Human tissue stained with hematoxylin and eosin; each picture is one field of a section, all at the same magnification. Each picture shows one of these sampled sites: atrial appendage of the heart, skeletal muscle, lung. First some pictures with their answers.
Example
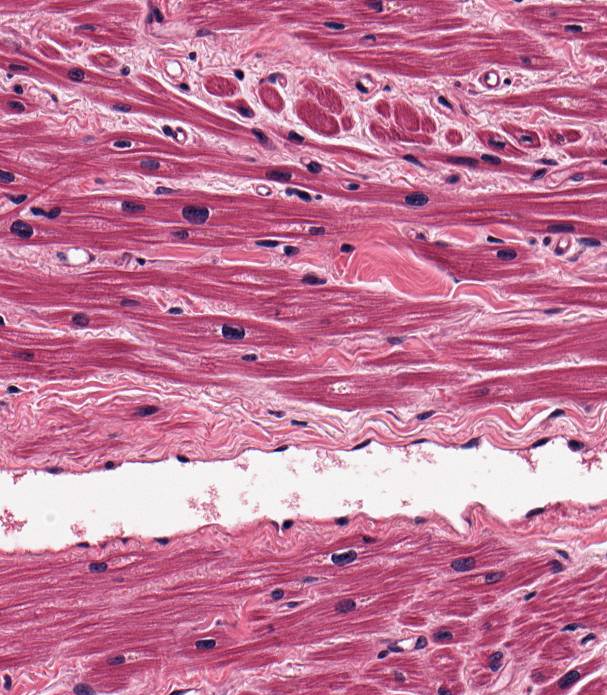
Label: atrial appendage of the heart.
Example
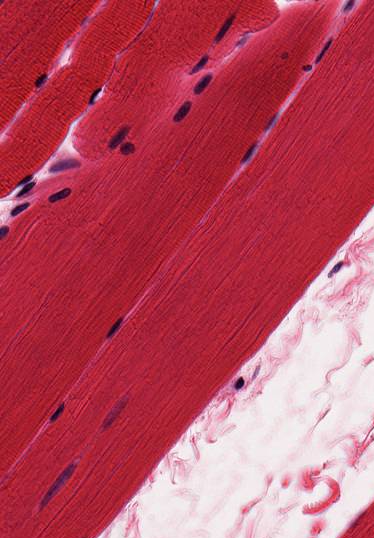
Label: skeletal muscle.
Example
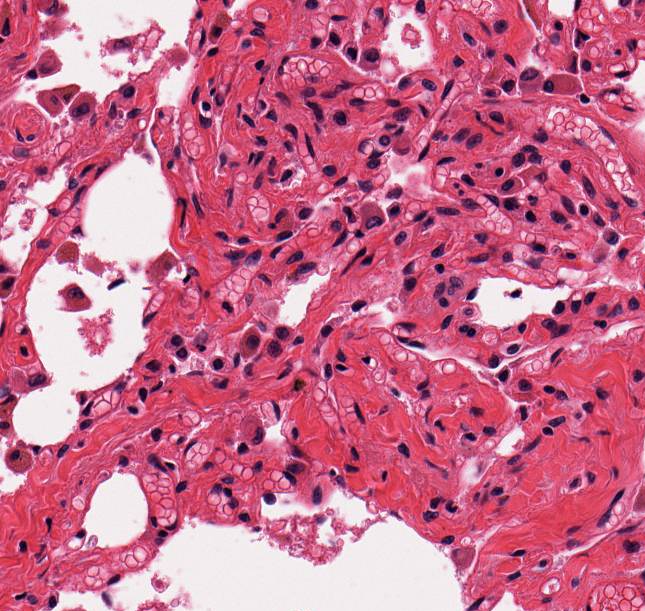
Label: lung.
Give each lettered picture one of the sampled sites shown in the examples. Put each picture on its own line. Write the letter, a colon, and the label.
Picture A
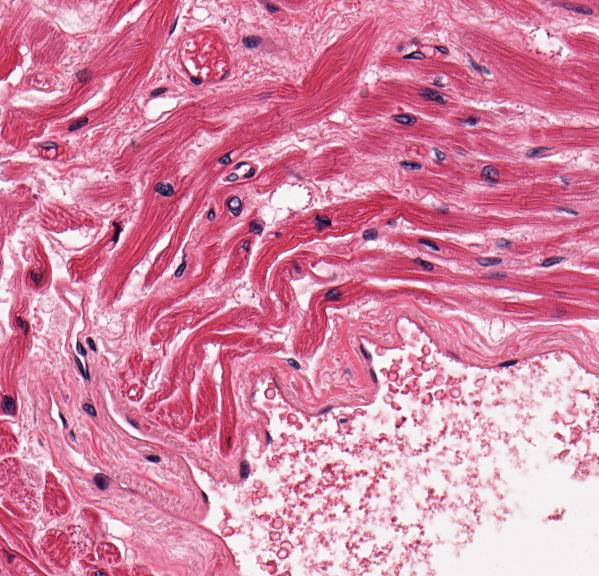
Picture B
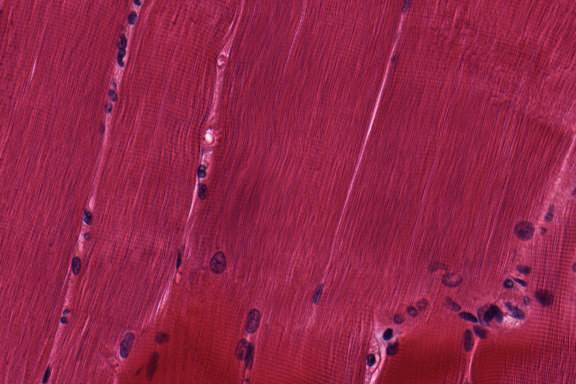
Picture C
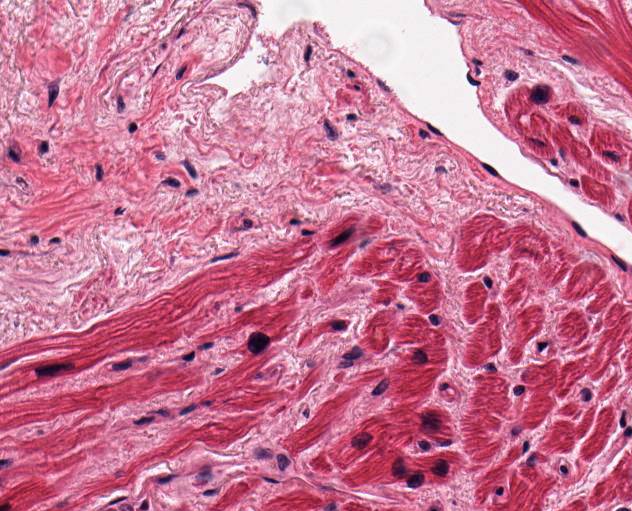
A: atrial appendage of the heart.
B: skeletal muscle.
C: atrial appendage of the heart.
